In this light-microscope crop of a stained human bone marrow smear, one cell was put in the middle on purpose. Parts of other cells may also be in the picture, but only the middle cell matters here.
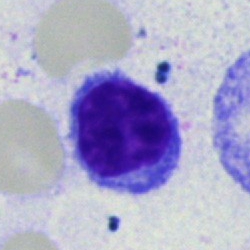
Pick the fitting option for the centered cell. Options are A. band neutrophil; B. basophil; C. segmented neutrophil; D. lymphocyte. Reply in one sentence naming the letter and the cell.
Option D is correct, naming the cell in the middle as a lymphocyte.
